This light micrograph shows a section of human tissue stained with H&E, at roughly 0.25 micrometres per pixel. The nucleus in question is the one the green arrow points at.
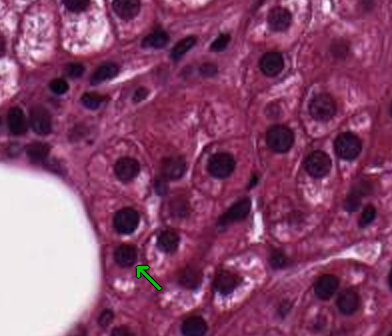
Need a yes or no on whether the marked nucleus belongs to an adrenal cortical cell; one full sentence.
Yes, the nucleus bearing the mark is that of an adrenal cortical cell.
